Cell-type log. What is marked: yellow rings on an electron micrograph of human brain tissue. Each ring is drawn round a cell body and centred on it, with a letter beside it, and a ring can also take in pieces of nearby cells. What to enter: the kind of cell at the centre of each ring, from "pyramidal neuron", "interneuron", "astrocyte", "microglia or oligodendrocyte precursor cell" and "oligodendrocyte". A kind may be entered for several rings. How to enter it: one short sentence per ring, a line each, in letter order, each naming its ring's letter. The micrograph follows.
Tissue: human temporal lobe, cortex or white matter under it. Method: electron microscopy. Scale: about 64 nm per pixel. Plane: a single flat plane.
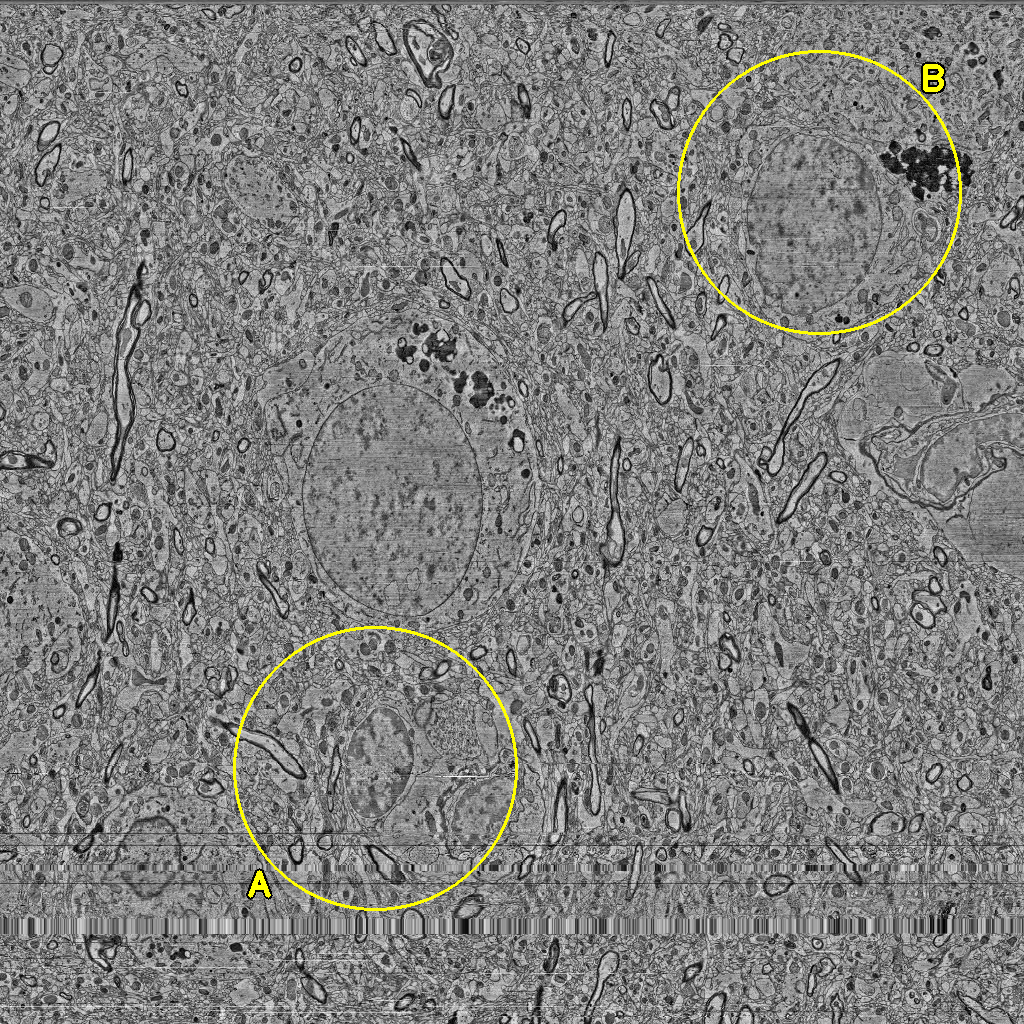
For ring A, the centre cell is a microglial cell or oligodendrocyte precursor cell.
For ring B, the centre cell is an interneuron.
